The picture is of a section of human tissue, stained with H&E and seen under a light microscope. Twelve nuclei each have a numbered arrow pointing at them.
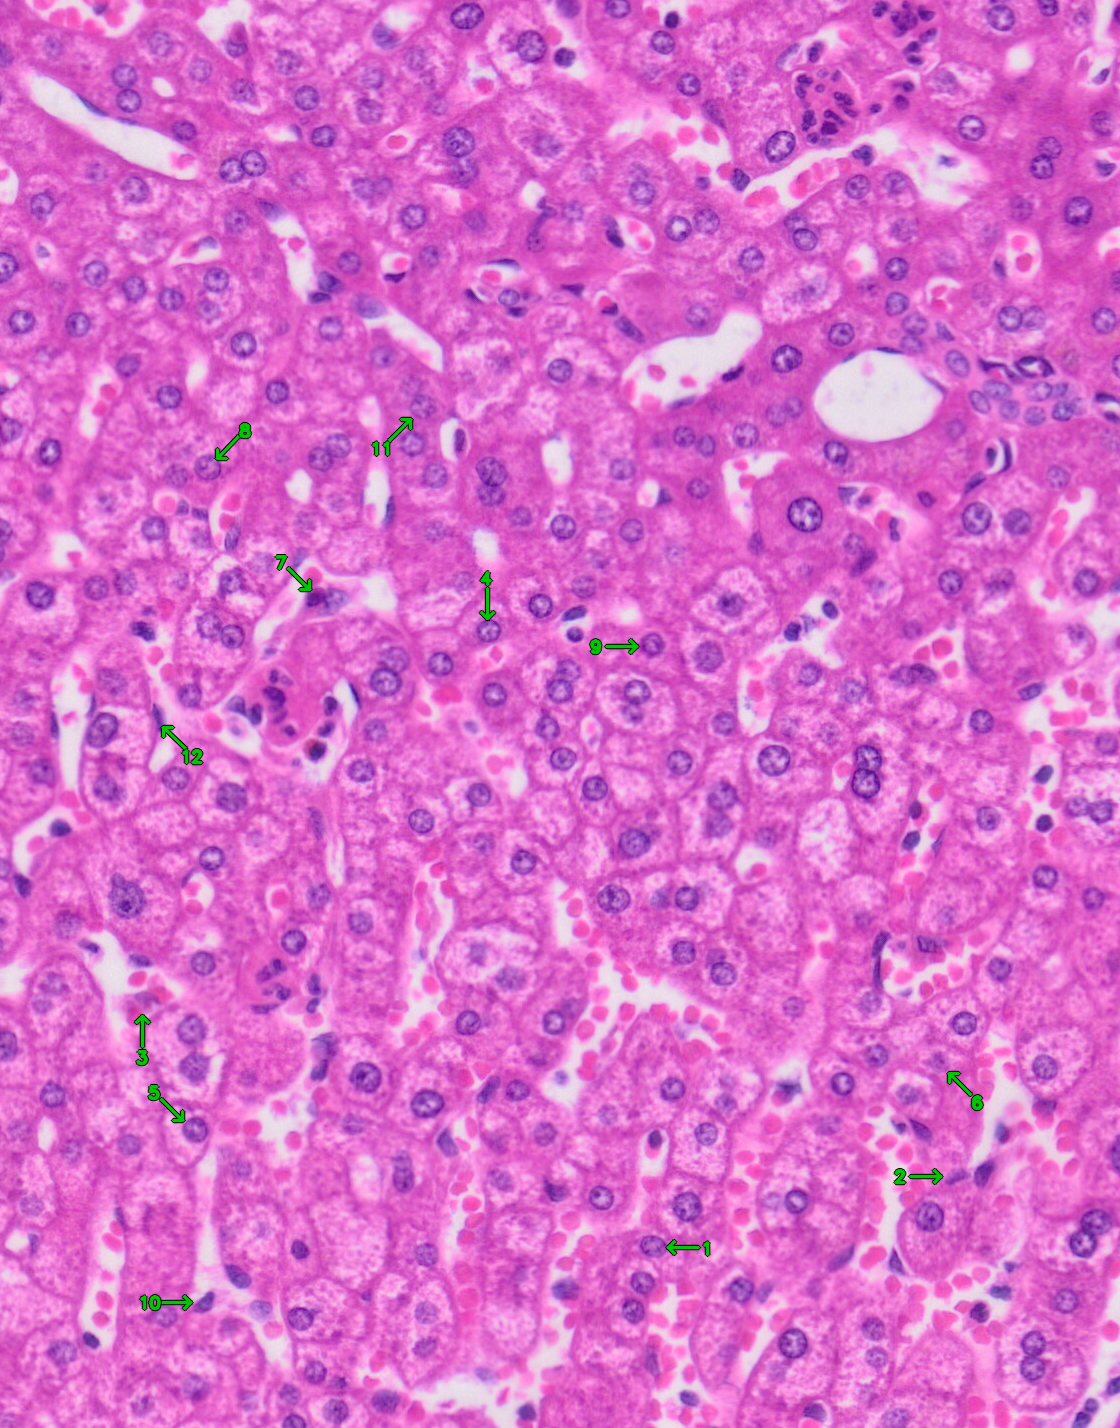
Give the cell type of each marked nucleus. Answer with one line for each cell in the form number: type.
1: hepatocyte
2: fibroblast or stellate cell
3: Kupffer cell
4: hepatocyte
5: hepatocyte
6: hepatocyte
7: Kupffer cell
8: hepatocyte
9: hepatocyte
10: lymphocyte
11: hepatocyte
12: endothelial cell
